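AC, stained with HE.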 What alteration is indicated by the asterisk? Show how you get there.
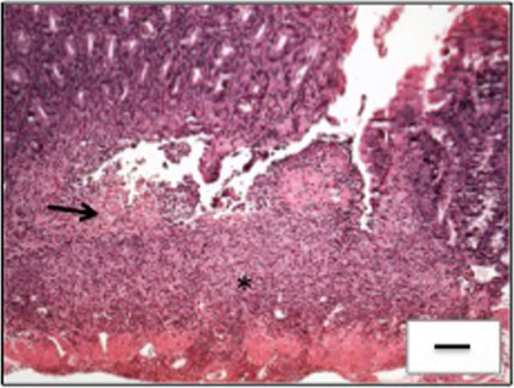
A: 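A broad sheet of densely packed small dark nuclei fills the tissue beneath the crypts. Crypts are absent from the area at the asterisk.
Conclusion: inflammatory infiltrate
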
